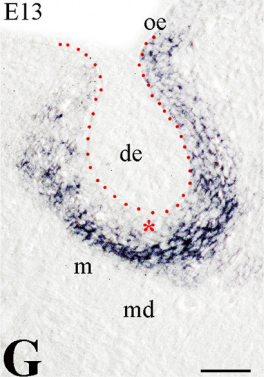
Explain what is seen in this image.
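This section shows a bud-stage tooth germ in the jaw, with the dental epithelium (outlined by a red dotted line) growing downward from the oral epithelium into the surrounding mesenchyme. The epithelial bud is rounded and entirely unstained. Around it the dental mesenchyme is densely packed, and many of its cells carry a dark purple stain, strongest in a crescent beneath and beside the bud. A narrow zone of one to a few cell layers directly against the epithelium, marked by an asterisk, is left unstained. Farther out, the mesenchyme of the jaw is pale with only scattered stained cells.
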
